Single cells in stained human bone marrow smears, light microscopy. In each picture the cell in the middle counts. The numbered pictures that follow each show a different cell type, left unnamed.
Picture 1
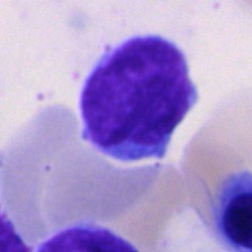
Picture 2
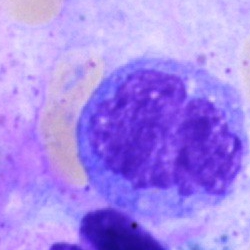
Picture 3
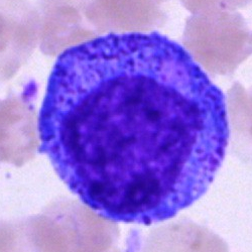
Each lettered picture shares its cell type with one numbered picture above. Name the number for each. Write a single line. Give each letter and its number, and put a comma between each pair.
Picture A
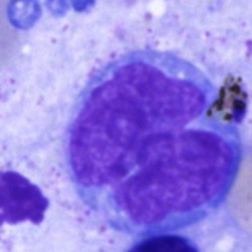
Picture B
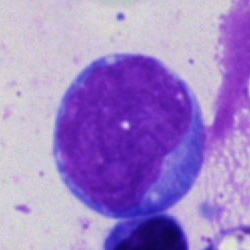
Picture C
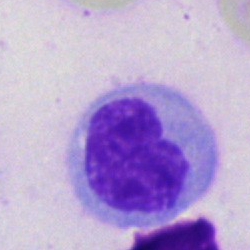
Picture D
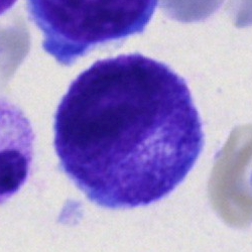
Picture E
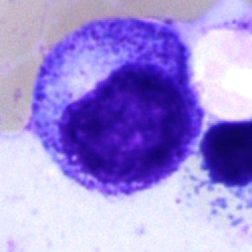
A 2, B 1, C 2, D 3, E 3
